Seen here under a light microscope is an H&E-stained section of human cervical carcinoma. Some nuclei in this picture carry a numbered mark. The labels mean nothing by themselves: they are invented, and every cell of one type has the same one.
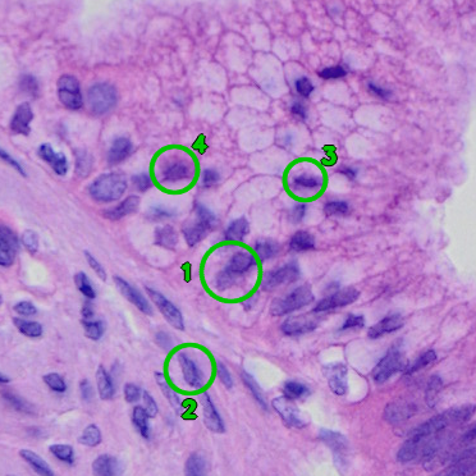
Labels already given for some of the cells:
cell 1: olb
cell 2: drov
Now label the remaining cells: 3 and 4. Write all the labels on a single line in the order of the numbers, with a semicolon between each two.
olb; olb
